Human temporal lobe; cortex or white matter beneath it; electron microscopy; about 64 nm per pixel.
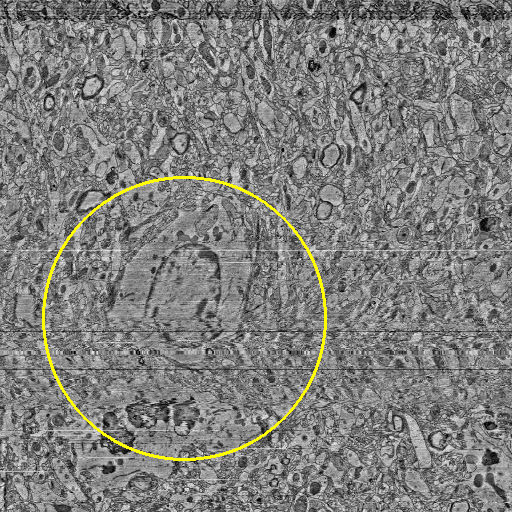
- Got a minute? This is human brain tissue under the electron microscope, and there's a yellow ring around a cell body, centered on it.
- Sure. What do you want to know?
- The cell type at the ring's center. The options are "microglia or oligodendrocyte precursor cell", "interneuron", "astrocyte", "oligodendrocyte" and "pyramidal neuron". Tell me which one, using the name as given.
astrocyte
